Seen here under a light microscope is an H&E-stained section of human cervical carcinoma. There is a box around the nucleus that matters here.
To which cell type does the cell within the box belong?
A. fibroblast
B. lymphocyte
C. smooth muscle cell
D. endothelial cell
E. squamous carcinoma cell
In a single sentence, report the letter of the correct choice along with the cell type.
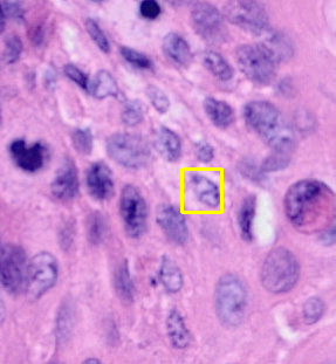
Option E is the right one; the cell within the box is a squamous carcinoma cell.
